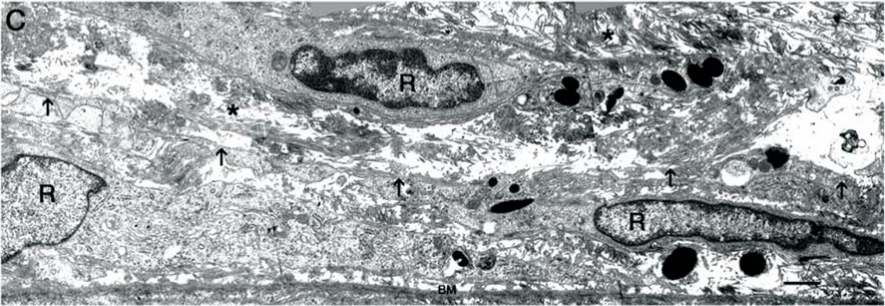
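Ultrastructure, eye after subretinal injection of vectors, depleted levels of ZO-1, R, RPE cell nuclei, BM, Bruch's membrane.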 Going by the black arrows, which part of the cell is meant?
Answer: The flat apical side of the cell.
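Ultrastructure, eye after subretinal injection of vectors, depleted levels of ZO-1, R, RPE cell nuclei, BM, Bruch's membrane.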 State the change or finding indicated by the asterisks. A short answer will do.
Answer: Extracellular debris.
